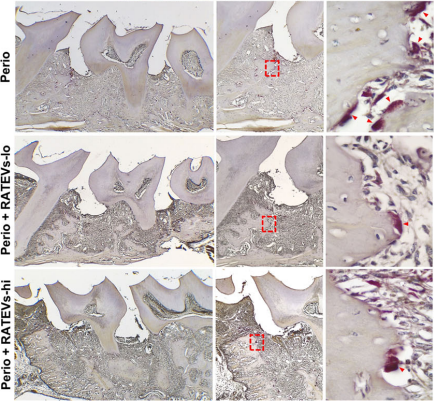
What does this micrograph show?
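This grid shows sections through molar teeth set in alveolar bone at three magnifications. At low magnification, the pale tooth crowns and roots stand in a grey-purple stained bone and soft tissue, with a red dashed box marking a small area near the bone. At the highest magnification, that area shows pale, homogeneous bone beside connective tissue with small, dark blue nuclei. Large cells stained dark red-purple sit directly on the bone surface, and red arrowheads point to them.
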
